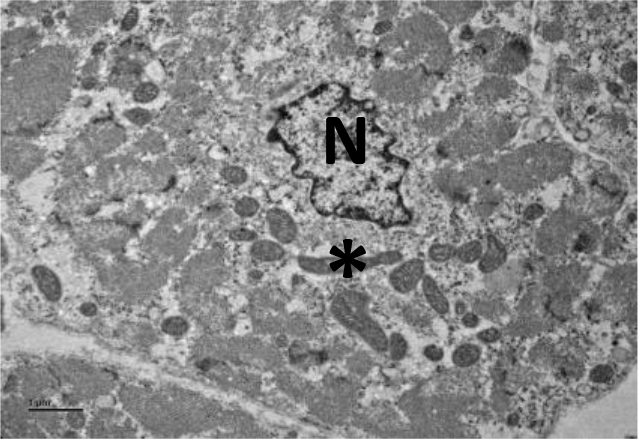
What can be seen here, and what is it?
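Electron micrograph of a skeletal muscle fiber in which the internal order is disturbed. A nucleus with an irregular, deeply folded envelope lies in the interior of the fiber rather than at its edge. Below and around it, marked by an asterisk, is a region without banded filament bundles, crowded instead with many small dark oval mitochondria and granular, amorphous material. Elsewhere, myofibril bundles appear as patchy grey blocks cut at varying angles, separated by irregular pale spaces, rather than forming aligned, regularly striated arrays. The fiber border runs along the lower left.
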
